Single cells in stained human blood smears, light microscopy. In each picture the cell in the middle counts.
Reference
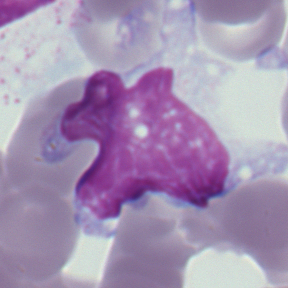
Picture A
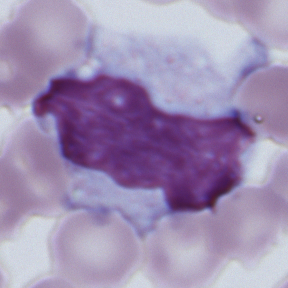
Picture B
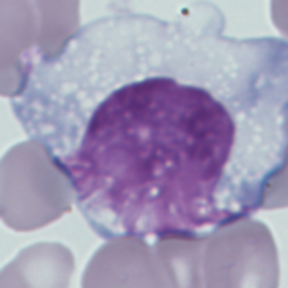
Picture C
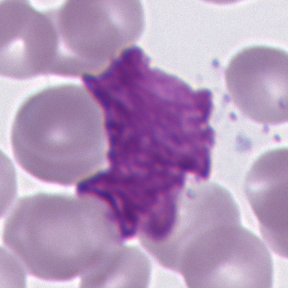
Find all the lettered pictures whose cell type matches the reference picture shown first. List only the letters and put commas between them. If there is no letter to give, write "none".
A, B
